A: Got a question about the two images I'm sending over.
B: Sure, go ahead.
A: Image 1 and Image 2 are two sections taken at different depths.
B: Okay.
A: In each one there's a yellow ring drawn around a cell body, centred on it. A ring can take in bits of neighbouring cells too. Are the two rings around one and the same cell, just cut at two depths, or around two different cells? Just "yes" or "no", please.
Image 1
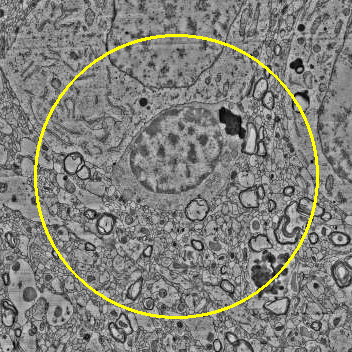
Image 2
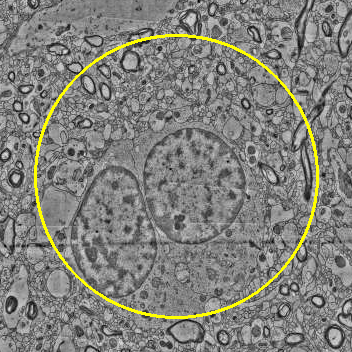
no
